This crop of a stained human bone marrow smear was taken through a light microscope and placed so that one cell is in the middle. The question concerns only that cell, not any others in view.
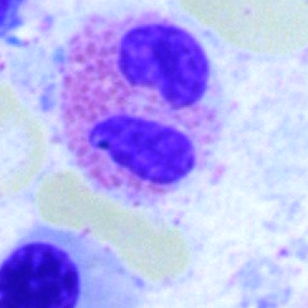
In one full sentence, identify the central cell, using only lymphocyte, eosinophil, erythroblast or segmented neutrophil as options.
In the crop, the cell of interest at the centre is an eosinophil.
